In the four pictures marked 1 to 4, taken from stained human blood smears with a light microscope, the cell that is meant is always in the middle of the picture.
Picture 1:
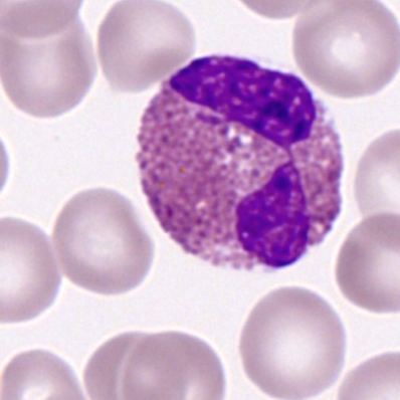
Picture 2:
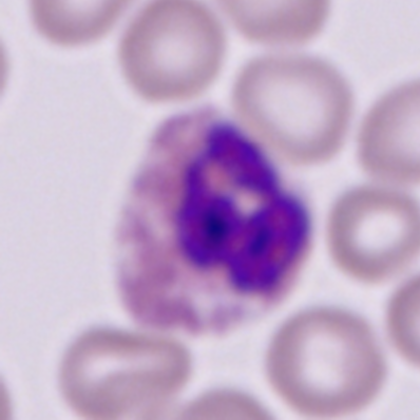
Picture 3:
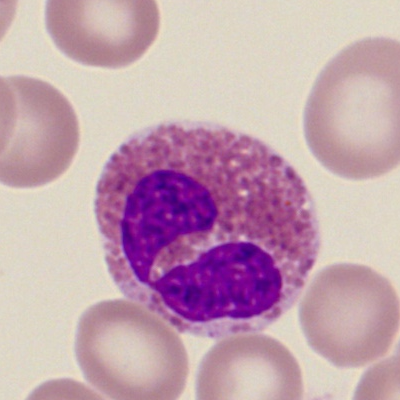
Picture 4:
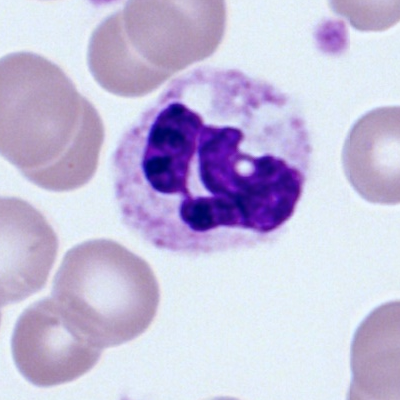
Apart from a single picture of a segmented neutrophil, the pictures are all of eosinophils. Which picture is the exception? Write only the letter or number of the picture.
4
